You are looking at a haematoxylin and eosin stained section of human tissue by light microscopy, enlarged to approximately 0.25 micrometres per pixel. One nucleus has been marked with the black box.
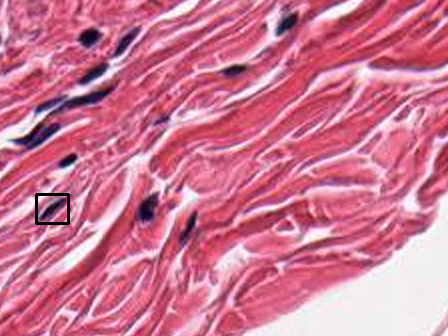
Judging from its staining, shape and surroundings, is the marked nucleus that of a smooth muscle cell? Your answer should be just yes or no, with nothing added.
no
